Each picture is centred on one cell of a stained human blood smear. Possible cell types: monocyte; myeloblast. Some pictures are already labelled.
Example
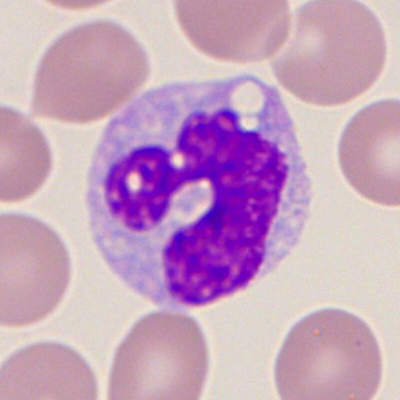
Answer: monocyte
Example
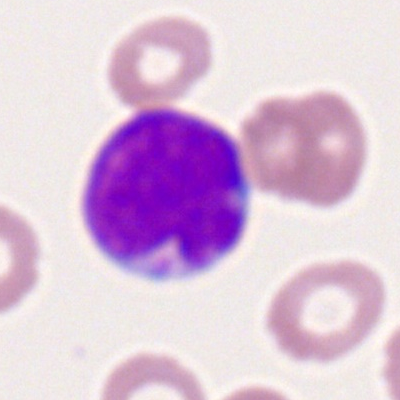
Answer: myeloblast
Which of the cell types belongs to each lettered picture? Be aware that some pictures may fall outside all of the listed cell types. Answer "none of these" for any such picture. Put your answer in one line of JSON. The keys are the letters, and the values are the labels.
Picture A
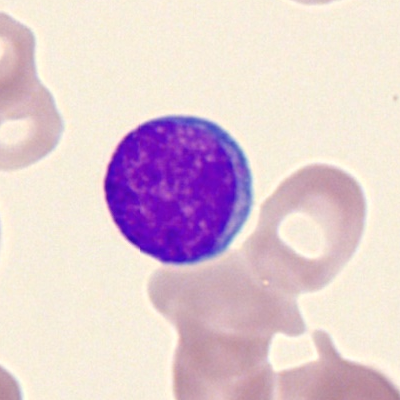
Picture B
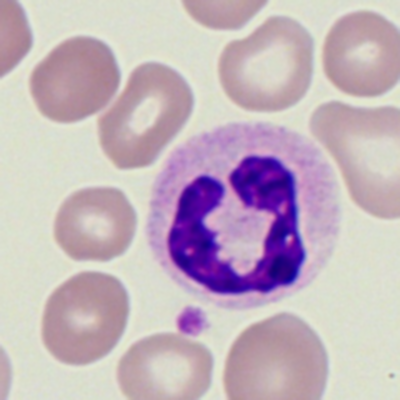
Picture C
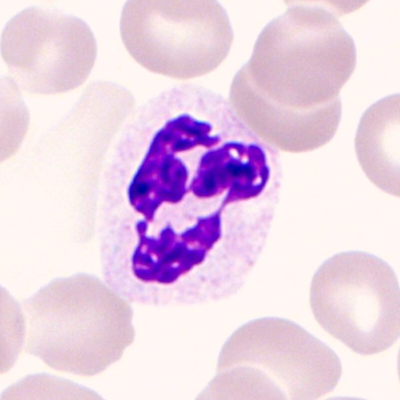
{"A": "myeloblast", "B": "none of these", "C": "none of these"}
